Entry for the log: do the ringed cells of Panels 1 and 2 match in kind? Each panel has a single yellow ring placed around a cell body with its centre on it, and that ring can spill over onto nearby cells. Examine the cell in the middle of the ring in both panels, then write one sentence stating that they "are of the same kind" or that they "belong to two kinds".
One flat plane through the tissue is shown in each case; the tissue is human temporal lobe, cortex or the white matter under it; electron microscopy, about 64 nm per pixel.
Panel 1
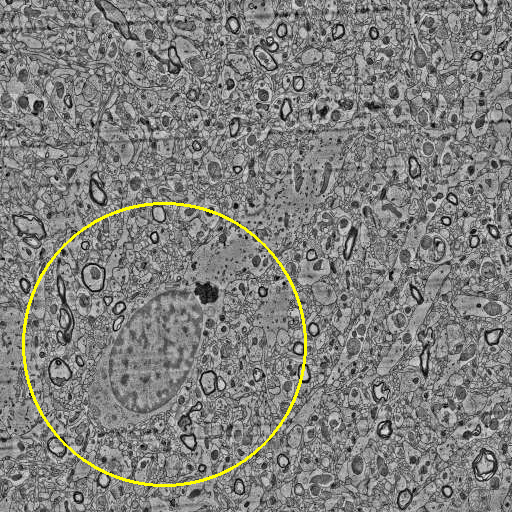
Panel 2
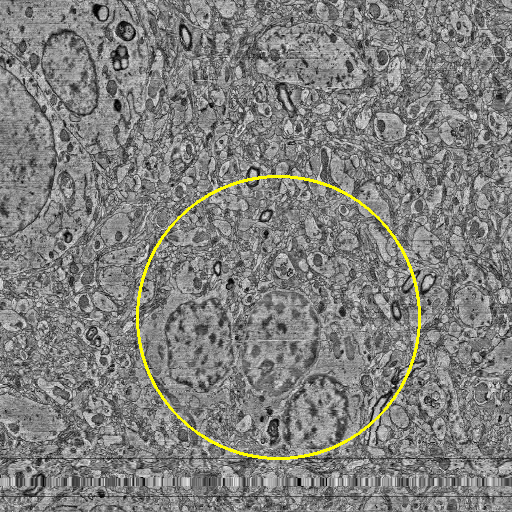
The centre cell of Panel 1's ring and that of Panel 2's ring are of the same kind.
